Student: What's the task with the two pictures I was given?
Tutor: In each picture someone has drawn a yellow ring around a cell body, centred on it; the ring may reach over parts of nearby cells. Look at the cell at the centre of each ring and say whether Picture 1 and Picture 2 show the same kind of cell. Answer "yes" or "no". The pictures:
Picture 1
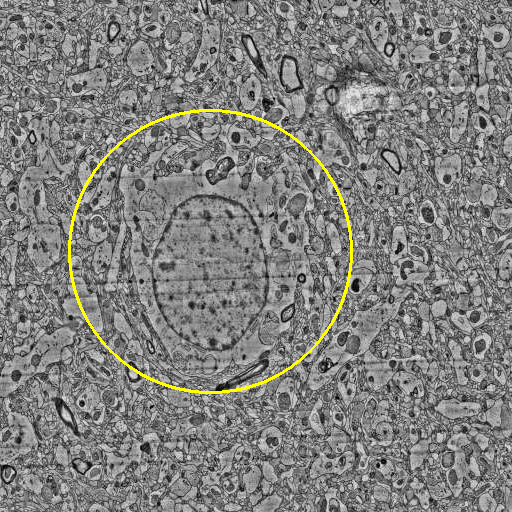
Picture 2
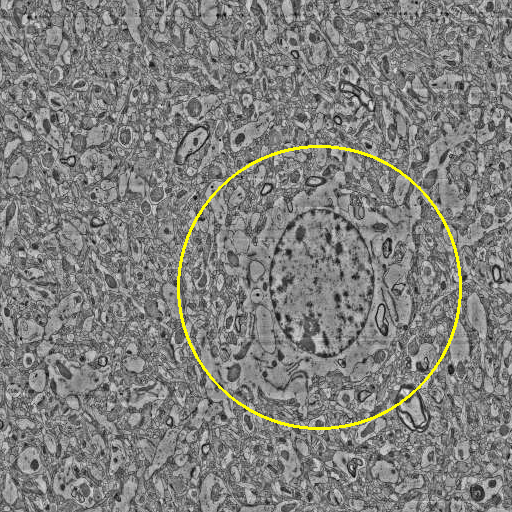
yes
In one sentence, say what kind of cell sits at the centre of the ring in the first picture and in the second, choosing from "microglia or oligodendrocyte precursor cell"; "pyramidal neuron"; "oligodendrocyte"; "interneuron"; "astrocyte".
Each of the two cells is an astrocyte.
